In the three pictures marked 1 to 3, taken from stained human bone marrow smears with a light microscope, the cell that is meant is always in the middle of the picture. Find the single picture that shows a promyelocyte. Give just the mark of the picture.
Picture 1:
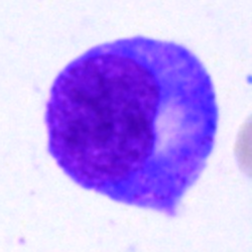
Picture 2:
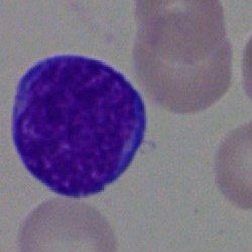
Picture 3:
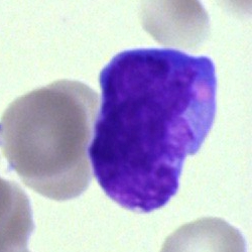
1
